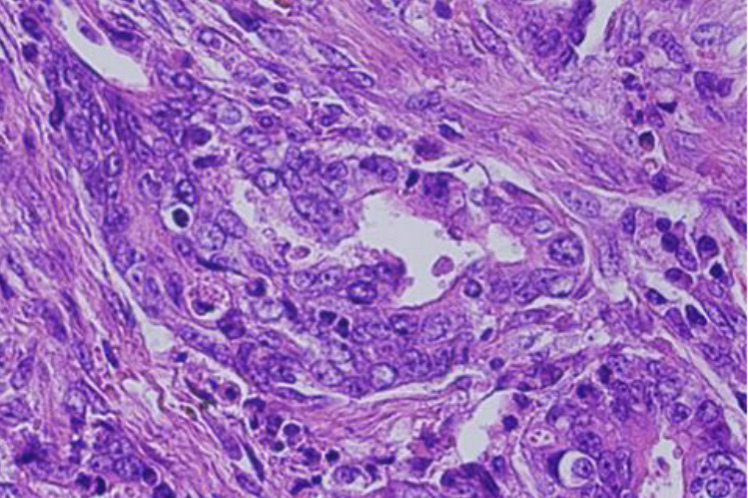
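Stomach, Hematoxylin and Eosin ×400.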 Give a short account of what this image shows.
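This is a tubular adenocarcinoma: irregular, angulated glands with small open lumens infiltrate a fibrous pink stroma. The lining tumour cells have enlarged, pleomorphic, vesicular nuclei with prominent nucleoli and a moderate amount of pink to purple cytoplasm. Strands of collagenous stroma separate the glands.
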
